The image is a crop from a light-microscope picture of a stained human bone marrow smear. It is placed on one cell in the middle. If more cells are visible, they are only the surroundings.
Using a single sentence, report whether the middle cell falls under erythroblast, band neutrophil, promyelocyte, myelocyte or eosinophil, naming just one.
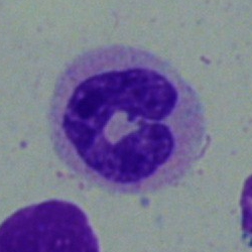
Whatever else lies nearby, the middle cell is a band neutrophil.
